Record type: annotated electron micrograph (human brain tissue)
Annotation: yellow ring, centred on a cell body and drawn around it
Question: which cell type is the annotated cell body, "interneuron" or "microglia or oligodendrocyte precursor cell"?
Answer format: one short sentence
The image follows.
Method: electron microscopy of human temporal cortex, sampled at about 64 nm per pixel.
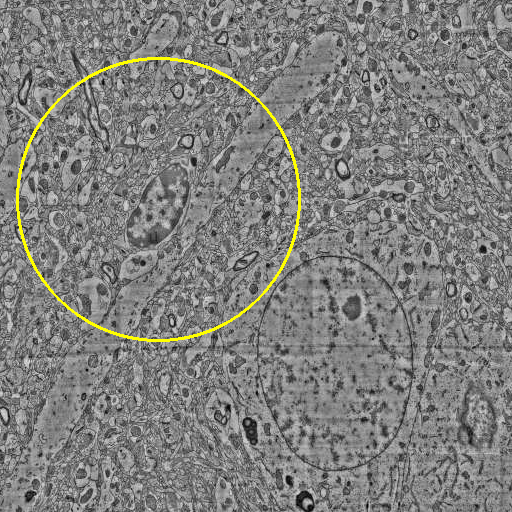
The annotated cell body is that of a microglial cell or oligodendrocyte precursor cell.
